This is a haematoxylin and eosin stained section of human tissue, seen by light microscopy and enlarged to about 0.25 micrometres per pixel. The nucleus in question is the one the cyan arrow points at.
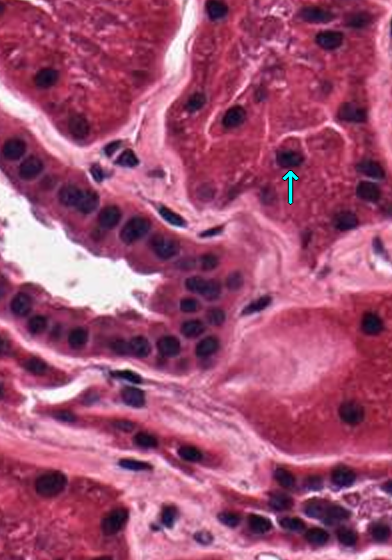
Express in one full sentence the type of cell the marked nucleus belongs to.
The marked nucleus is housed in a proximal tubule cell.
